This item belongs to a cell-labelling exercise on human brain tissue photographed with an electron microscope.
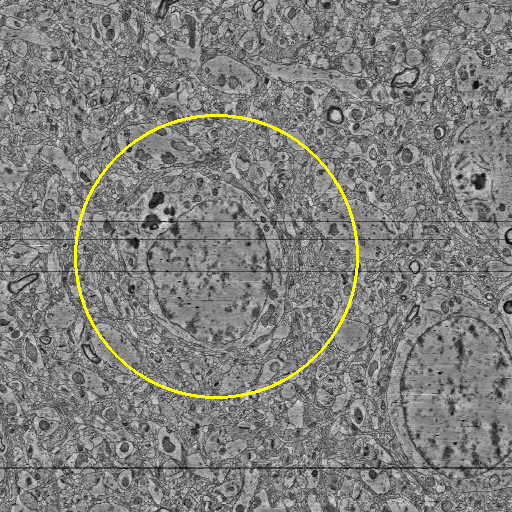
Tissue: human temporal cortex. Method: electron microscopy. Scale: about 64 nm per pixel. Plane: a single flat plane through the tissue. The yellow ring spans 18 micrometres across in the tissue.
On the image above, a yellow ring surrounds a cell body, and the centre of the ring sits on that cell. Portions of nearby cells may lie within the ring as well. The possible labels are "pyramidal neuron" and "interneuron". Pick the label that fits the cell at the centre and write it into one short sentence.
This cell should be labelled as an interneuron.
